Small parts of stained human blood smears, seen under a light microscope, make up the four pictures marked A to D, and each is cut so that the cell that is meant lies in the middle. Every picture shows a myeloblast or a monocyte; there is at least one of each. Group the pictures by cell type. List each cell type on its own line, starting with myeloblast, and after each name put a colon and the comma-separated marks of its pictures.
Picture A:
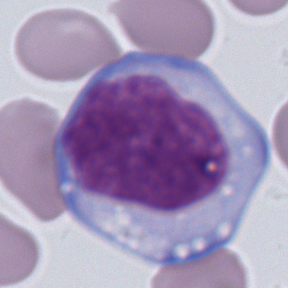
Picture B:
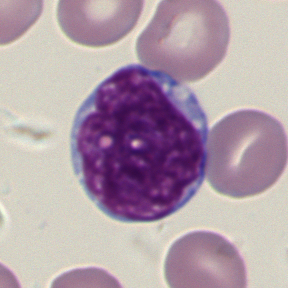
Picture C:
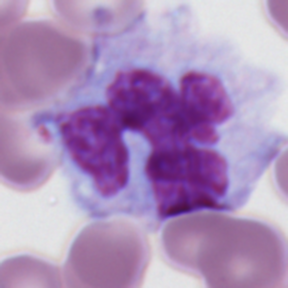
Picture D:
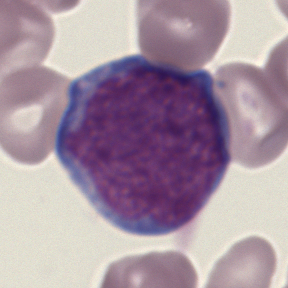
myeloblast: A, B, D
monocyte: C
